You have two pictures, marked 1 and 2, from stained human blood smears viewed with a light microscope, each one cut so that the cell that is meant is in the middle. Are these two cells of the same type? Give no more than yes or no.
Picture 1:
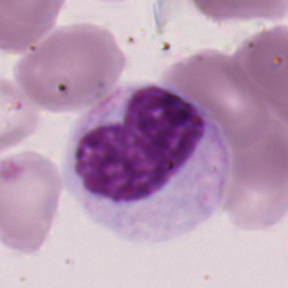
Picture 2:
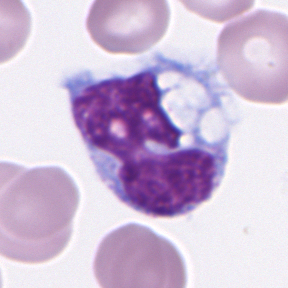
no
